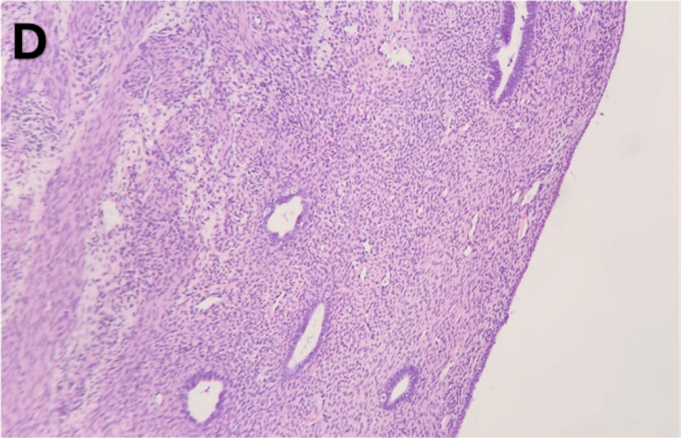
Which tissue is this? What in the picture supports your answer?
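Scattered simple tubular glands lie in a dense cellular stroma. A smooth surface lined by epithelium runs along one edge.
Conclusion: benign endometrium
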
